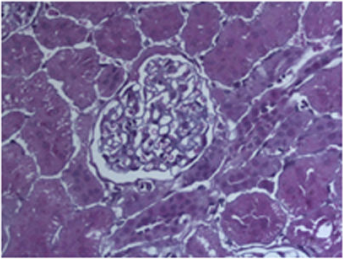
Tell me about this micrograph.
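This section of kidney cortex shows a single glomerulus in the centre, surrounded by tubules cut in cross-section. The glomerulus is a compact, rounded tuft of capillary loops with scattered dark nuclei. It is separated from the enclosing thin capsule by a narrow, clear crescent of urinary space. Around it lie closely packed tubules with round or oval profiles. Their lining cells are cuboidal, with granular purple cytoplasm and small round nuclei. The lumina are narrow. Thin, pale interstitial clefts separate neighbouring tubules.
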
